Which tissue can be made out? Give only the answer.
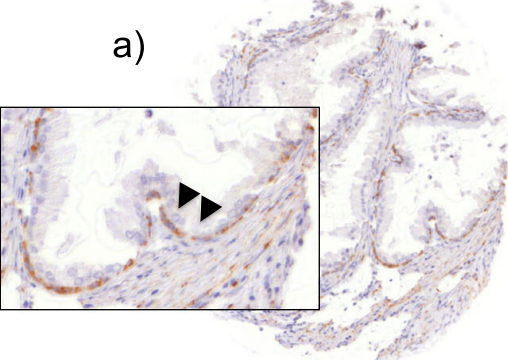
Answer: normal prostate glands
